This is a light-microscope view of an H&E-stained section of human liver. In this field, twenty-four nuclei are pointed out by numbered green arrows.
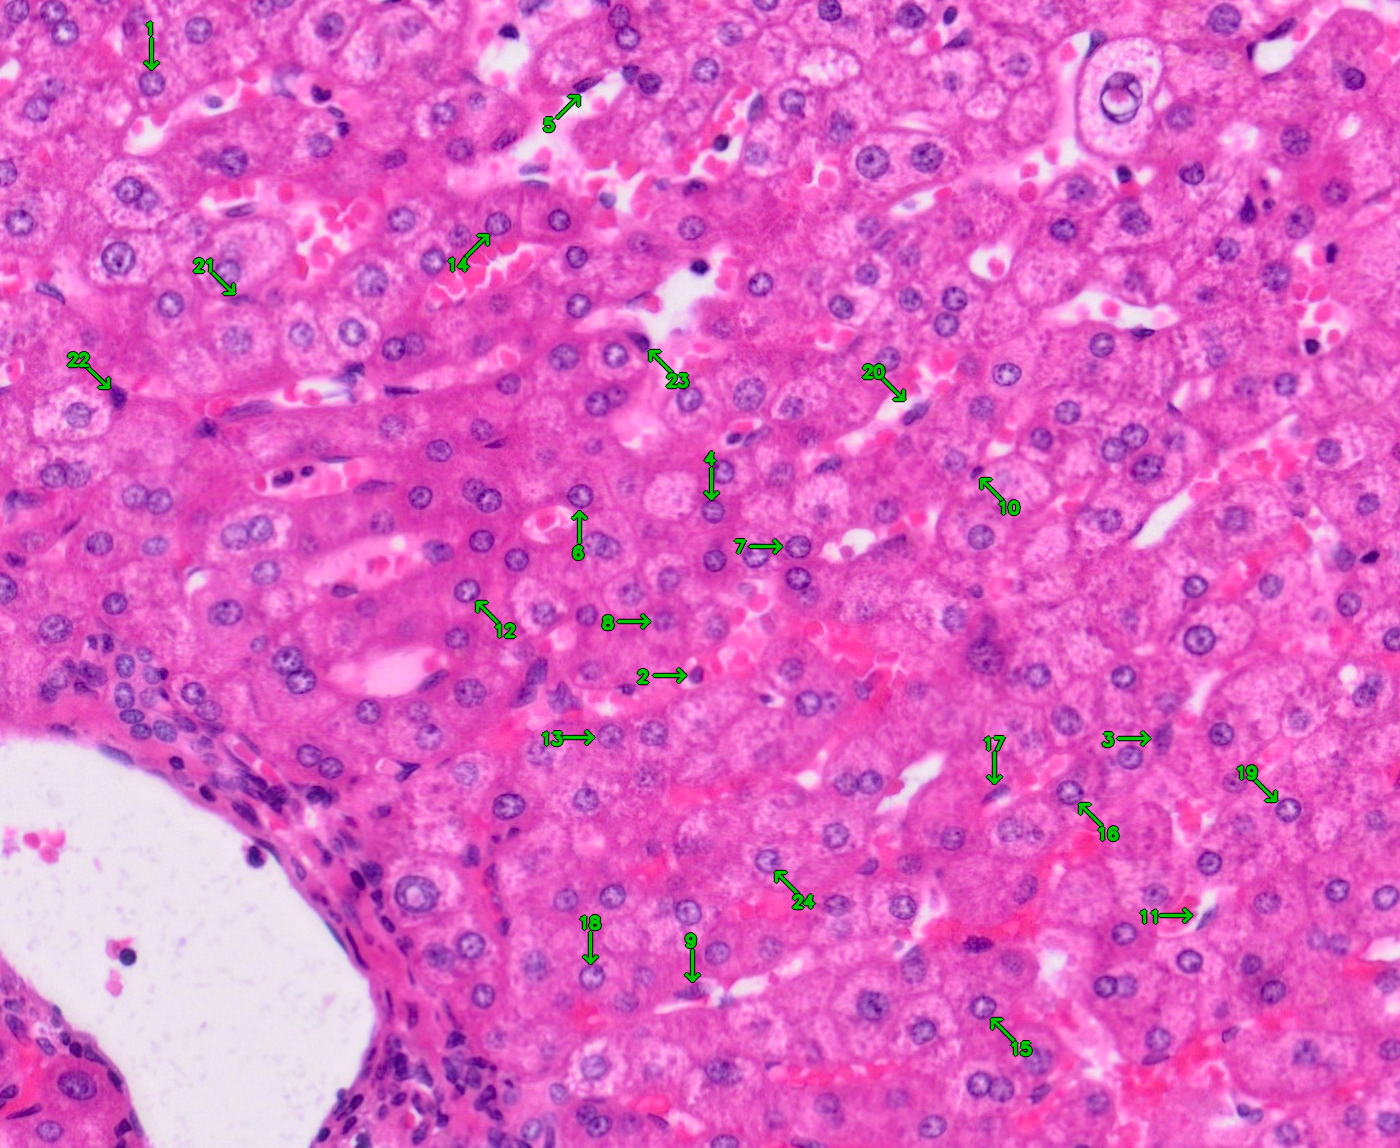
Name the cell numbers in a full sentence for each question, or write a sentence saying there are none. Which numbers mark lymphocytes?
Only at number 2 is there a lymphocyte among the marked cells.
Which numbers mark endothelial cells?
By cell type, the cells numbered 3, 11 and 17 are endothelial cells.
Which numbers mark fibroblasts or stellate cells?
Within this tissue, the cells numbered 10, 21, 22 and 23 are fibroblasts or stellate cells.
